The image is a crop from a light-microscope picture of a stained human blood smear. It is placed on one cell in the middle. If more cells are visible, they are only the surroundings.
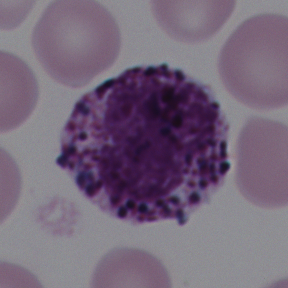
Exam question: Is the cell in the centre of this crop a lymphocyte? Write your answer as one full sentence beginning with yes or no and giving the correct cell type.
No, the central cell isn't a lymphocyte, but a basophil.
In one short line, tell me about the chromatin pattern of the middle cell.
The nuclear chromatin is fine, showing no coarse aggregates.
